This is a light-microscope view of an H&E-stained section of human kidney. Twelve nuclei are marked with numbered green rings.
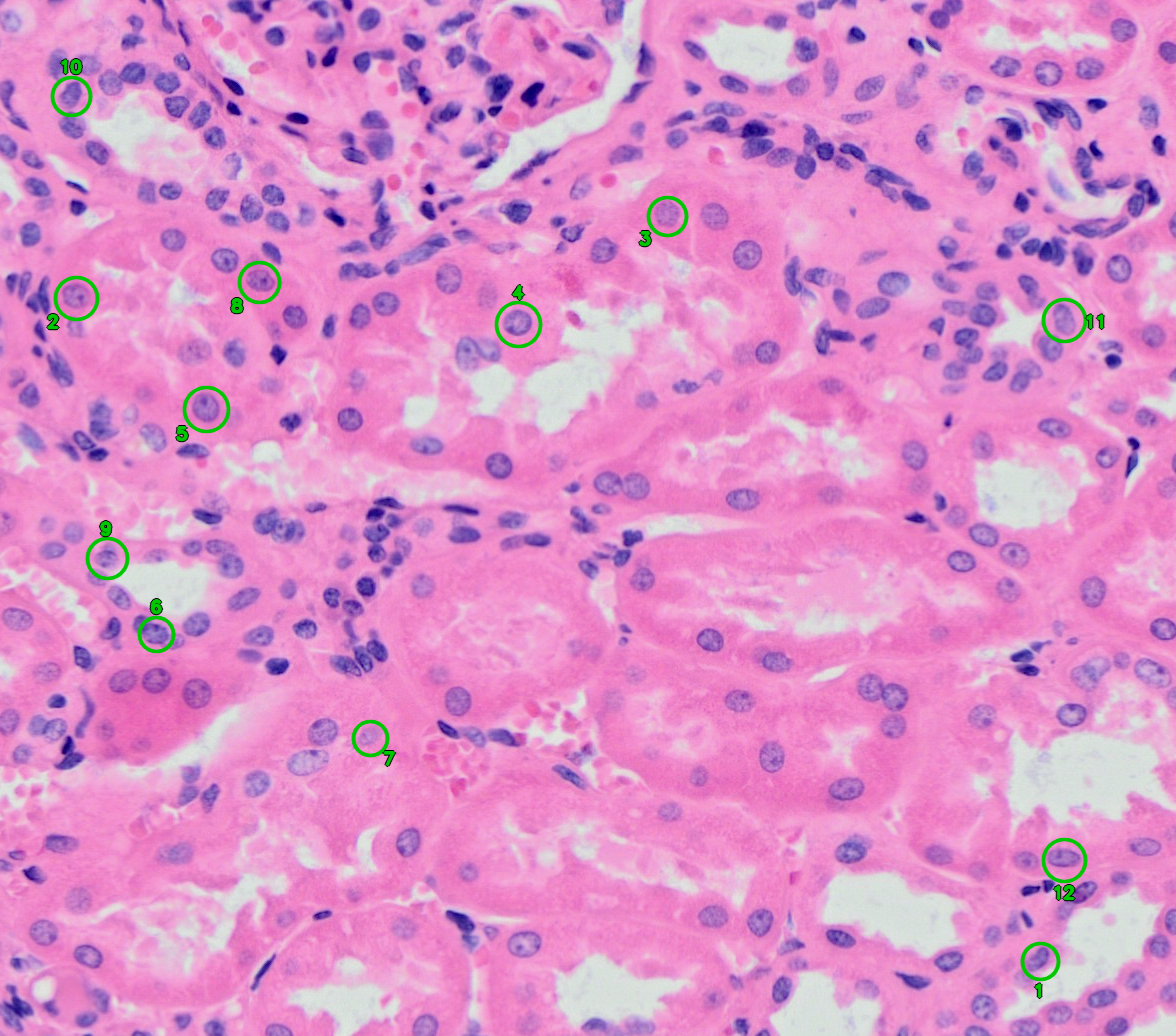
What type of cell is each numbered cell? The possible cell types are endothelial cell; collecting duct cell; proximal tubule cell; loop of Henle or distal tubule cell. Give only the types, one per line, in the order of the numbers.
loop of Henle or distal tubule cell
proximal tubule cell
proximal tubule cell
proximal tubule cell
proximal tubule cell
collecting duct cell
proximal tubule cell
proximal tubule cell
collecting duct cell
loop of Henle or distal tubule cell
collecting duct cell
proximal tubule cell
